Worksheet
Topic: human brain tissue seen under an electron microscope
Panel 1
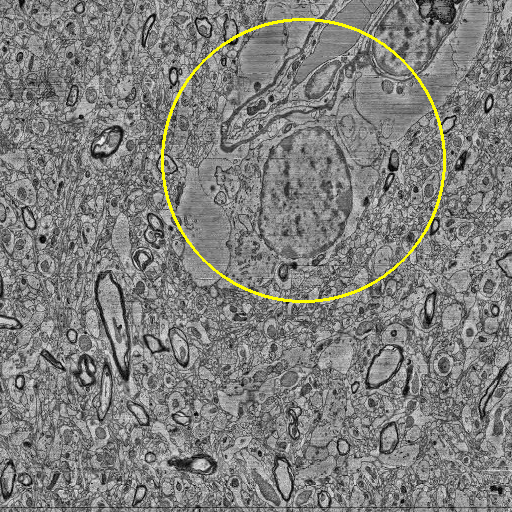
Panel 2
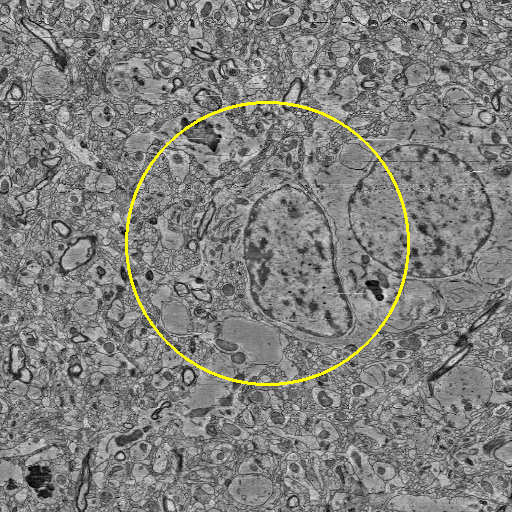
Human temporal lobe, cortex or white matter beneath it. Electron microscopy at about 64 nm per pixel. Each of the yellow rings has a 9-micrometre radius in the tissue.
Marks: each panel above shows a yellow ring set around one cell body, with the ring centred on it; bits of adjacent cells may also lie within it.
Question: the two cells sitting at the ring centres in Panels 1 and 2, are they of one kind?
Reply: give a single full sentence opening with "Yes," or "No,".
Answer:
Yes, the two ring-centre cells in Panel 1 and Panel 2 are of one kind.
